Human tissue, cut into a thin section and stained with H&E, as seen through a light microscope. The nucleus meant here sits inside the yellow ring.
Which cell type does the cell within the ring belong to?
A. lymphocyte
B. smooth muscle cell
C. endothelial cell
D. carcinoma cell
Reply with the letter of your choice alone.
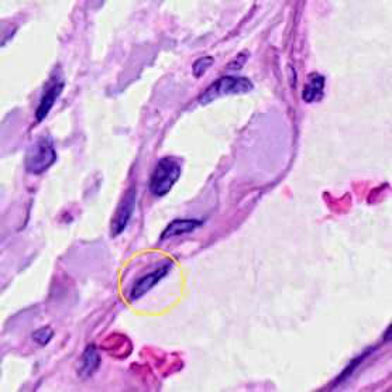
C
